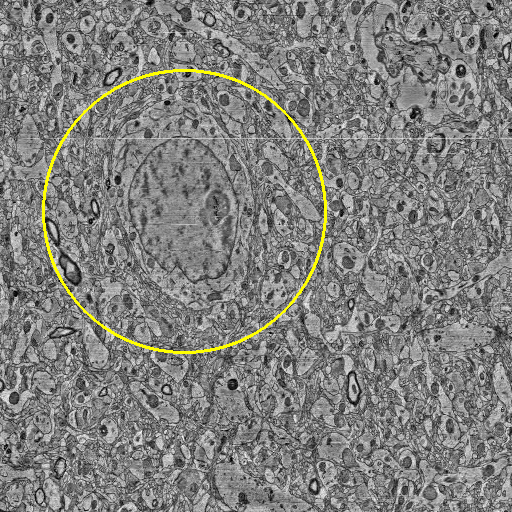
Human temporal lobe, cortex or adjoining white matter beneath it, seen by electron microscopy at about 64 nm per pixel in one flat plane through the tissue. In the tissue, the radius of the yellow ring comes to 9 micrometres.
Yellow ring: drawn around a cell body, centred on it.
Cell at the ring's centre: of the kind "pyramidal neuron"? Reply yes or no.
yes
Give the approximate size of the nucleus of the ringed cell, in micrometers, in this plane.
Approximately 10 x 7 micrometres in this plane.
